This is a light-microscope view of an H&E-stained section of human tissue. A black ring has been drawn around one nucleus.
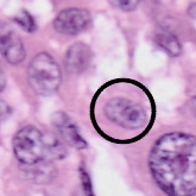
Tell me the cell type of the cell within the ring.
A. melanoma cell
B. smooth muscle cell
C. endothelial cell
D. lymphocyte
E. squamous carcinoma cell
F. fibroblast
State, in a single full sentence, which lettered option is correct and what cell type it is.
As the cell within the ring is a melanoma cell, the correct choice is option A.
